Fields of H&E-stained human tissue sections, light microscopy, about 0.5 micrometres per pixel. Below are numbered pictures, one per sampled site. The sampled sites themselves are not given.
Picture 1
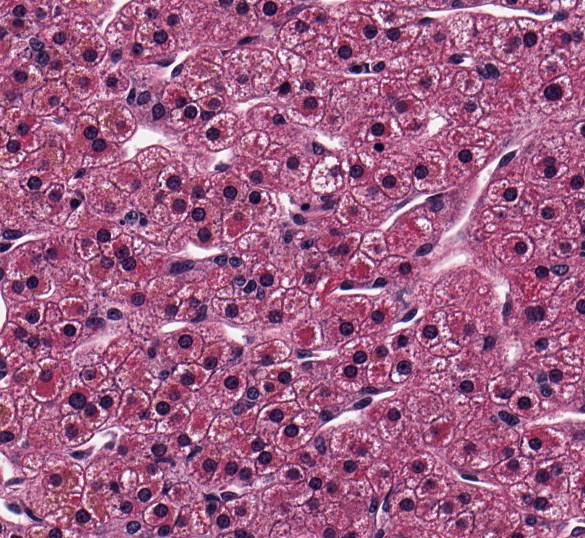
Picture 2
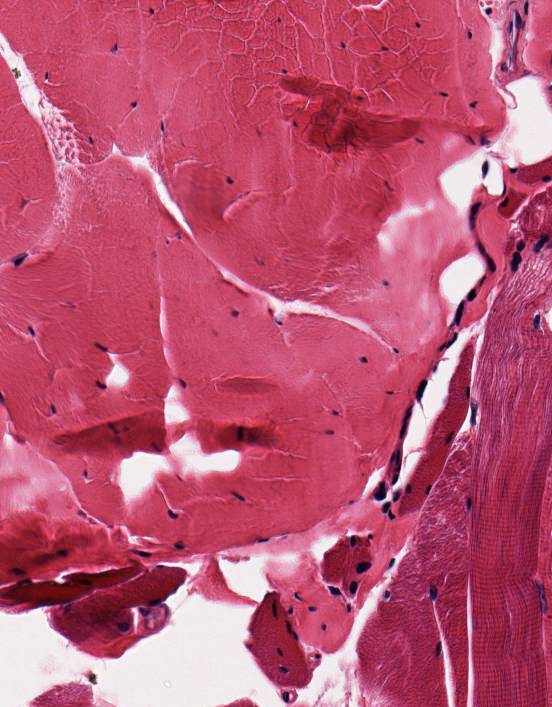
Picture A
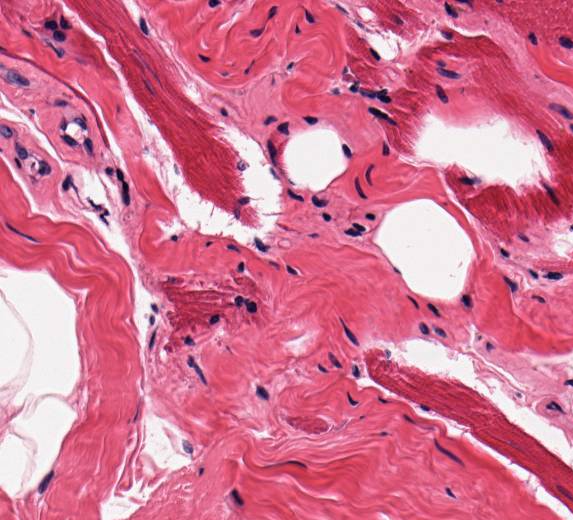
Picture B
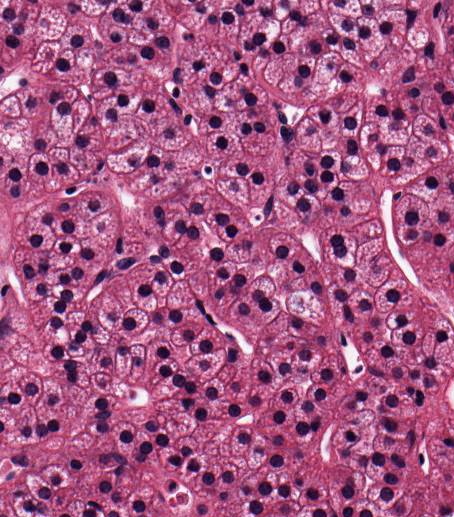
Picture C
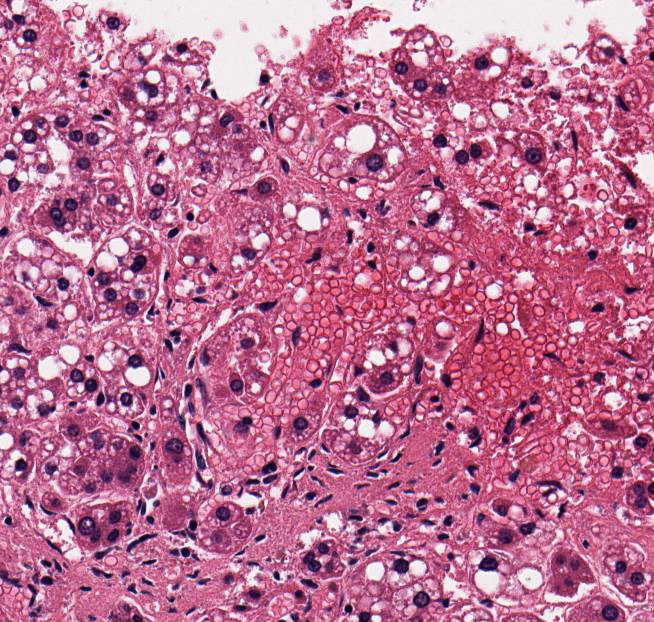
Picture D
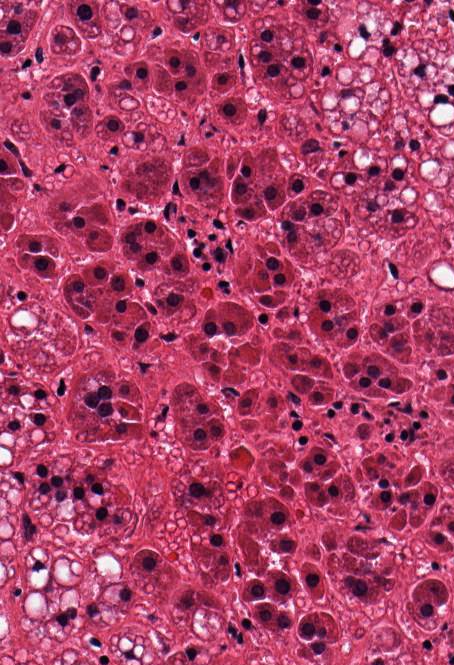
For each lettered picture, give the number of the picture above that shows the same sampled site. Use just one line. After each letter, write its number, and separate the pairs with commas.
A 2, B 1, C 1, D 1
